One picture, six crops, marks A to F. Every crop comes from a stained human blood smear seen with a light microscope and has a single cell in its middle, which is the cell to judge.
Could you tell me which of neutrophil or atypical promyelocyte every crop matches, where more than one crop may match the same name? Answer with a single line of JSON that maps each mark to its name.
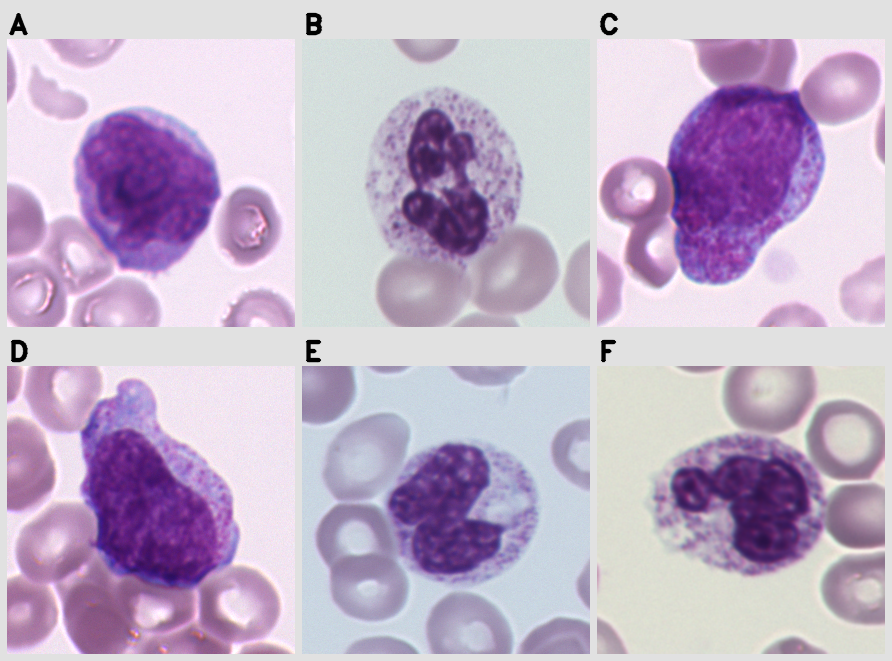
{"A": "atypical promyelocyte", "B": "neutrophil", "C": "atypical promyelocyte", "D": "atypical promyelocyte", "E": "neutrophil", "F": "neutrophil"}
